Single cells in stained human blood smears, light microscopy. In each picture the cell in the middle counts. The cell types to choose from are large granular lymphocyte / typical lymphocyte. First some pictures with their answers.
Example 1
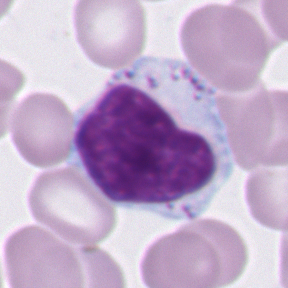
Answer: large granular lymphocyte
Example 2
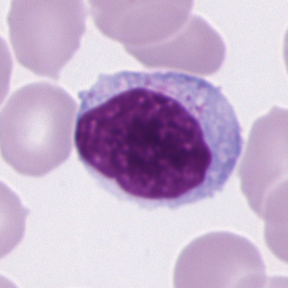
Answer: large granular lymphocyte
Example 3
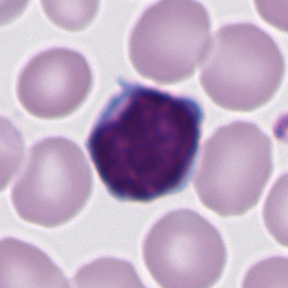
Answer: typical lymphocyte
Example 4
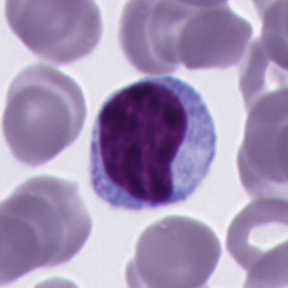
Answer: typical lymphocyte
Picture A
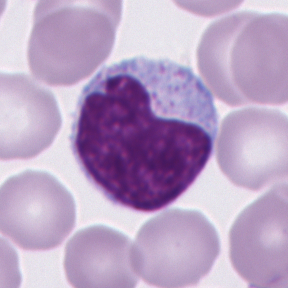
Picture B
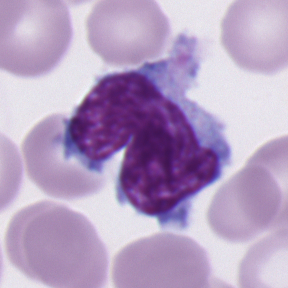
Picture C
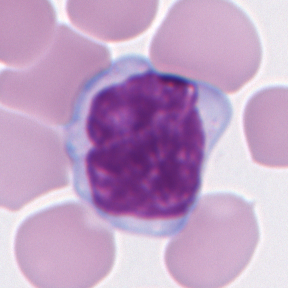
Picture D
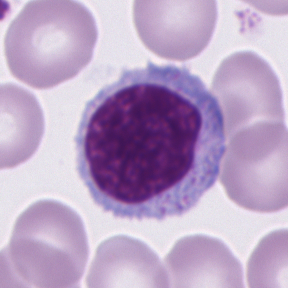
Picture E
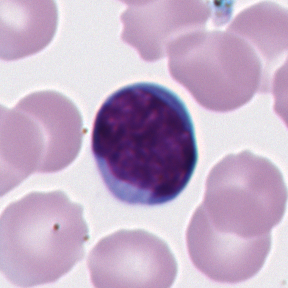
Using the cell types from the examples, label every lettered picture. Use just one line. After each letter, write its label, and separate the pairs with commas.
A large granular lymphocyte, B typical lymphocyte, C typical lymphocyte, D large granular lymphocyte, E typical lymphocyte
